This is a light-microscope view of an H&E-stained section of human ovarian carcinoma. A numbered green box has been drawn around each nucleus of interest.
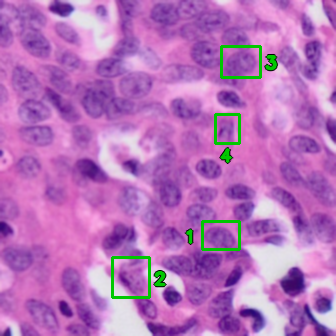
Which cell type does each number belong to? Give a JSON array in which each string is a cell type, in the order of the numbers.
["carcinoma cell", "macrophage or monocyte", "carcinoma cell", "endothelial cell"]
